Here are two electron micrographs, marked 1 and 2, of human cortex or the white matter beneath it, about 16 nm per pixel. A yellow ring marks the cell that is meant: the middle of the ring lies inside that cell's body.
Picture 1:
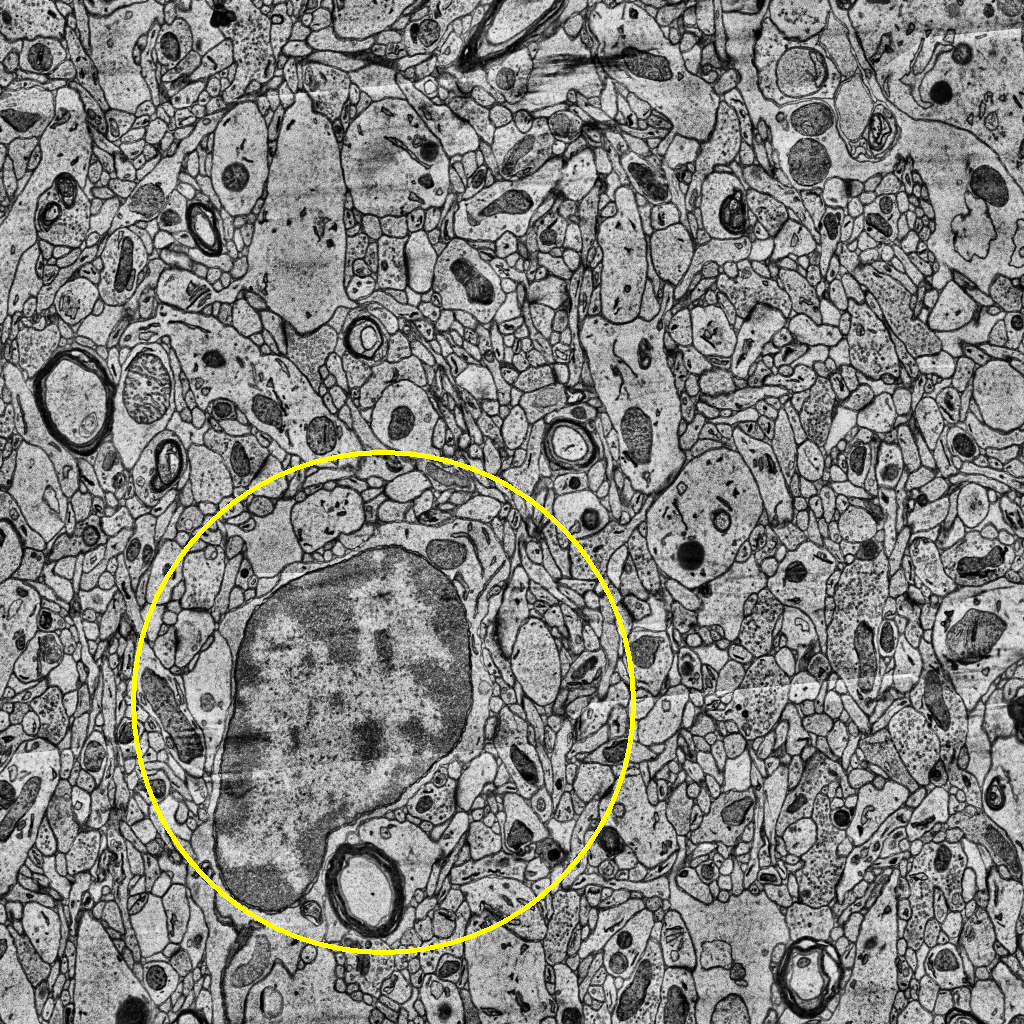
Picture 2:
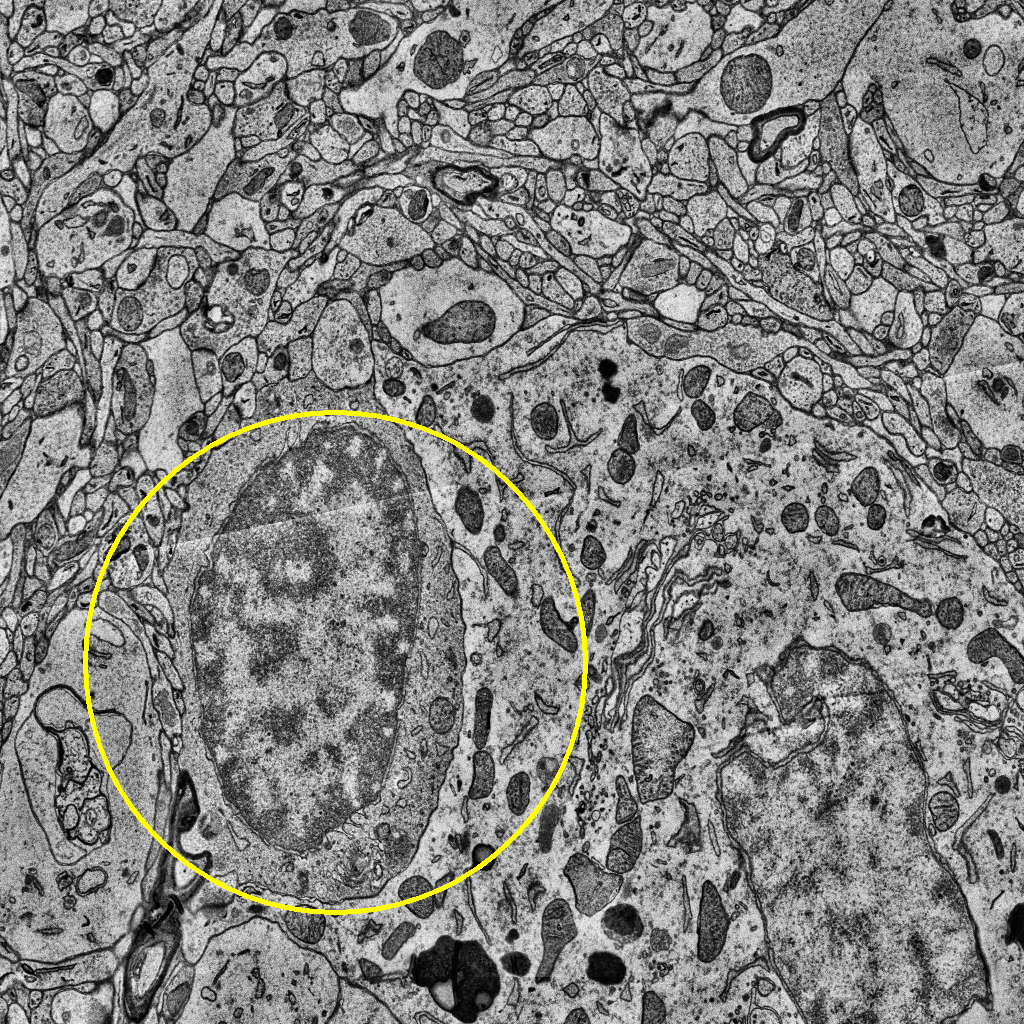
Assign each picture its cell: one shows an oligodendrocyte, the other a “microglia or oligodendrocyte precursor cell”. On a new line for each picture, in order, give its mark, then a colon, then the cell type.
1: microglia or oligodendrocyte precursor cell
2: oligodendrocyte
